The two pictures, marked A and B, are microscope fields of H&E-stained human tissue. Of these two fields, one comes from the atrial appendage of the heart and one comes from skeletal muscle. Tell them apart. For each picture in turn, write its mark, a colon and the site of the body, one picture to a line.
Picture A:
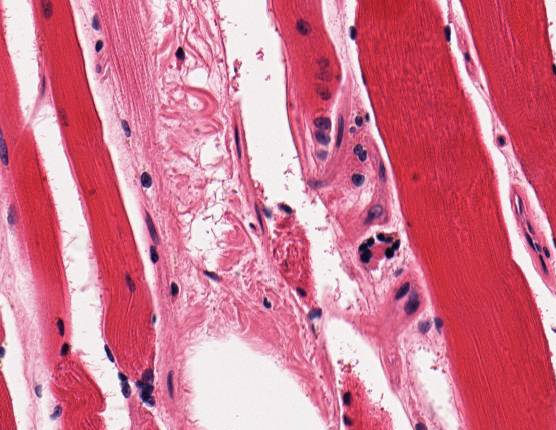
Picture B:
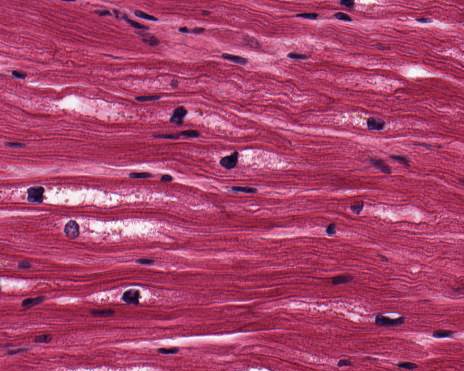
A: skeletal muscle
B: atrial appendage of the heart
